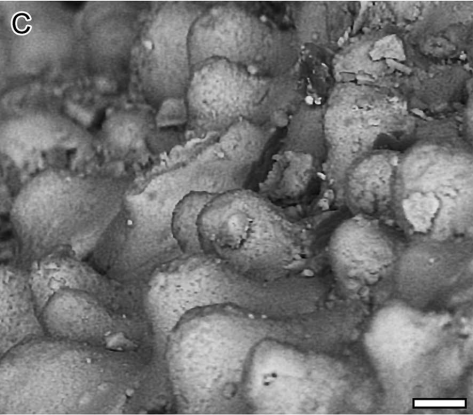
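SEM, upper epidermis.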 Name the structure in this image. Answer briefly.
Papillae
